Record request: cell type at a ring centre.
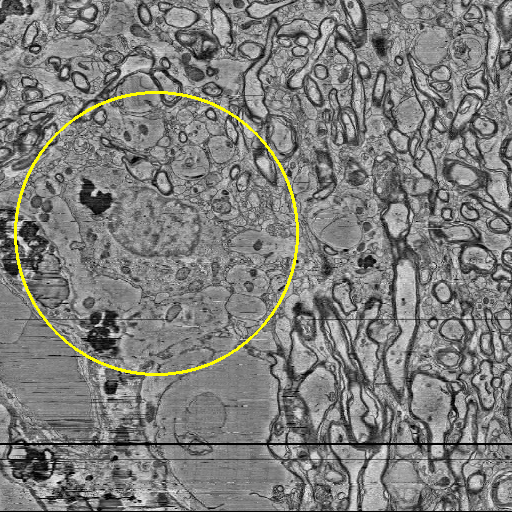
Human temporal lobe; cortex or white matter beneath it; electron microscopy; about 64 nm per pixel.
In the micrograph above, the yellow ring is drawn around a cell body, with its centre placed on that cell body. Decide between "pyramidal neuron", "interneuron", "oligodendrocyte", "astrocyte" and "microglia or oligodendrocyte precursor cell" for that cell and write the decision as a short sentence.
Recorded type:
The cell centred in the yellow ring is an oligodendrocyte.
